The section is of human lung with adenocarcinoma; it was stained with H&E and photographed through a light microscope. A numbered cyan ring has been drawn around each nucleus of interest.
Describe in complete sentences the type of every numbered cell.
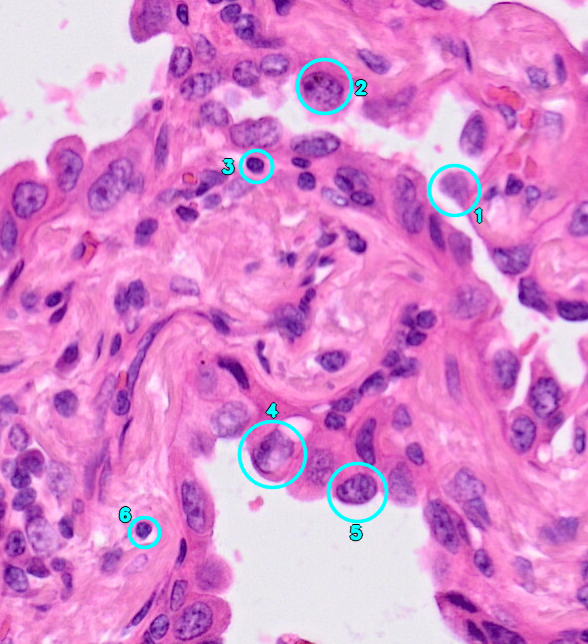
Cells 1, 2, 4 and 5 are carcinoma cells. Cells 3 and 6 are lymphocytes.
